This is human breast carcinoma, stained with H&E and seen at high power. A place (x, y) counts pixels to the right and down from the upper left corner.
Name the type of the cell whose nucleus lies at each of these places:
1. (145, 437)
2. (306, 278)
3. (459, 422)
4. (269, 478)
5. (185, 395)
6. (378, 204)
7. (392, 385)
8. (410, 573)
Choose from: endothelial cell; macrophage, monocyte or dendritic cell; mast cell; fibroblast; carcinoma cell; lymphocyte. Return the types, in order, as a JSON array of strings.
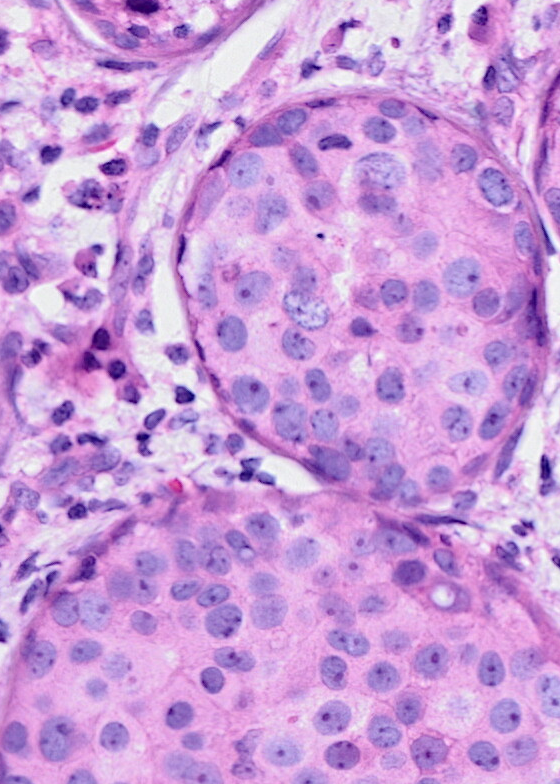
["lymphocyte", "carcinoma cell", "carcinoma cell", "lymphocyte", "lymphocyte", "carcinoma cell", "carcinoma cell", "carcinoma cell"]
